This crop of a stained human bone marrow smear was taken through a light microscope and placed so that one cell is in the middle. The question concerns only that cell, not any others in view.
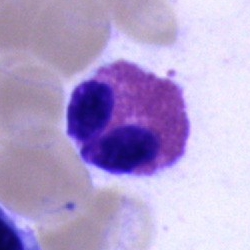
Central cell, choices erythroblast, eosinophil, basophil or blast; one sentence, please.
Standing at the centre of this crop is an eosinophil.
